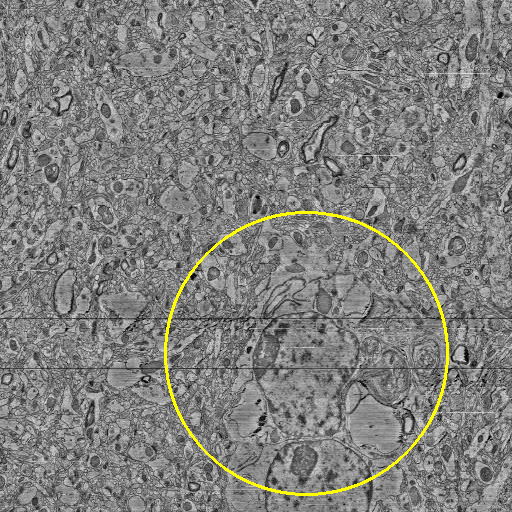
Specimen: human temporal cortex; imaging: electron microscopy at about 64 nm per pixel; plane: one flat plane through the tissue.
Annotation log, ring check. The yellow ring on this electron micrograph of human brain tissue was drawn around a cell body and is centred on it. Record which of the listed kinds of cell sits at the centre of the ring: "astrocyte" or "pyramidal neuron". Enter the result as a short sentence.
The cell at the centre of the ring is an astrocyte.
